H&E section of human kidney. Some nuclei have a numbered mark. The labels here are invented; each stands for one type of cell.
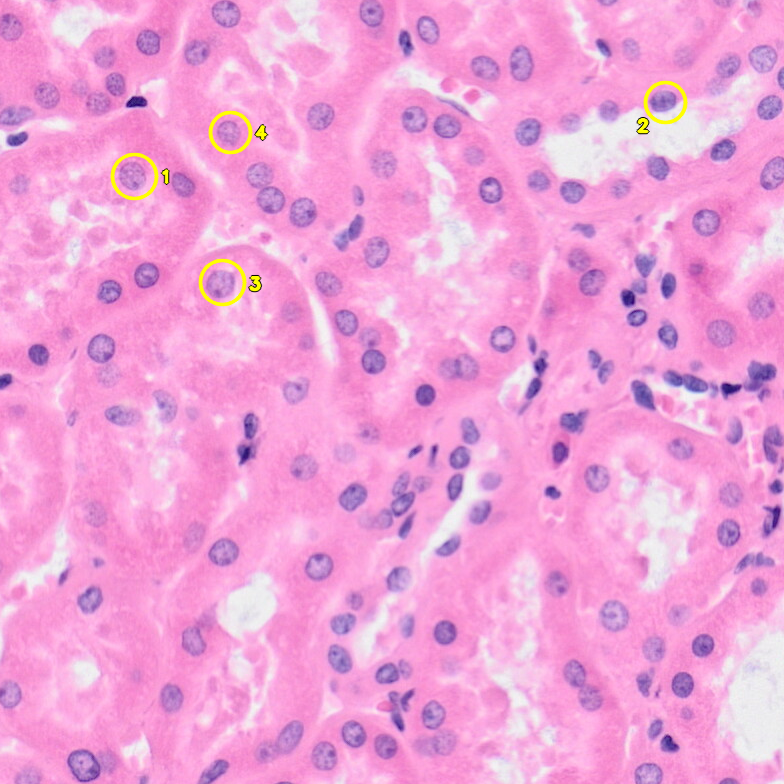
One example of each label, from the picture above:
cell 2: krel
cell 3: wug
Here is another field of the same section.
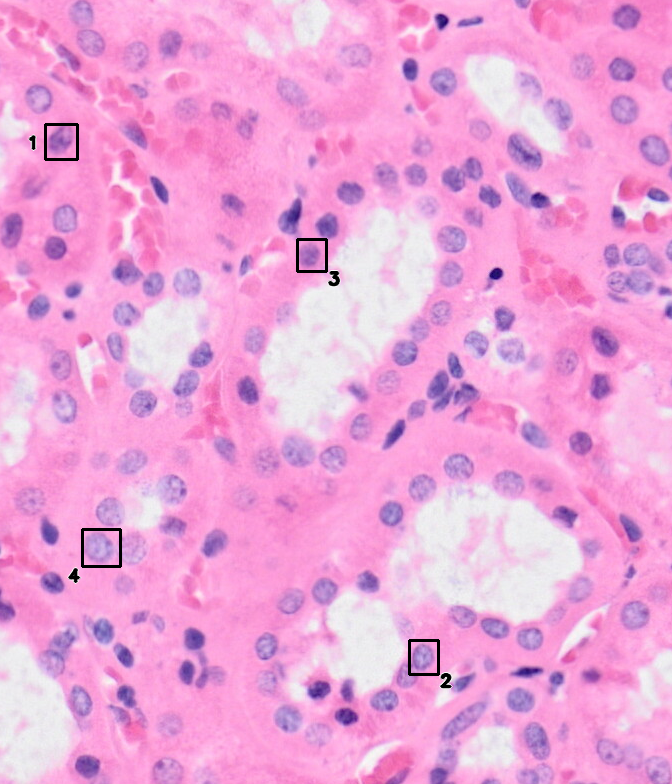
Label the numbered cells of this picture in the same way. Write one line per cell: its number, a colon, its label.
1: wug
2: krel
3: krel
4: krel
